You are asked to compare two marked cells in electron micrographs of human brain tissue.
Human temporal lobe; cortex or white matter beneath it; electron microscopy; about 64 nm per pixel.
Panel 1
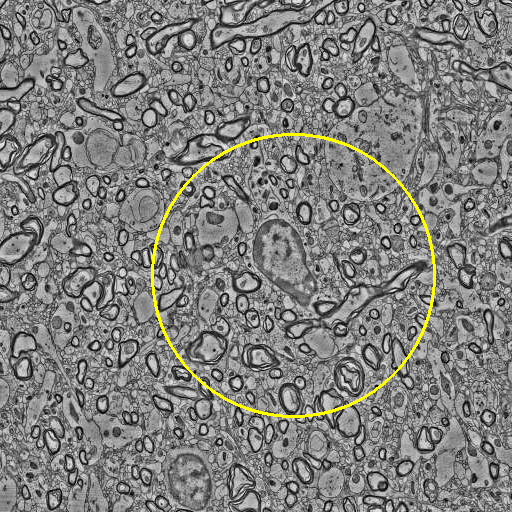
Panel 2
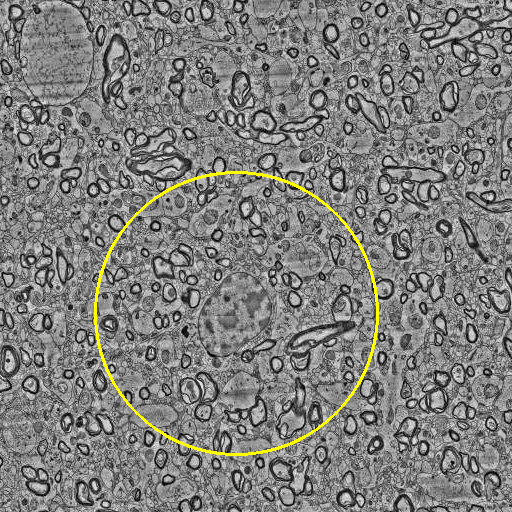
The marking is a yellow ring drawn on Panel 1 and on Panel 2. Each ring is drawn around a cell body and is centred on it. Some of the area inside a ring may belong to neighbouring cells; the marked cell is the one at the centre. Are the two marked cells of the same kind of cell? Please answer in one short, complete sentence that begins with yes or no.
Yes, the two marked cells are of the same kind.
